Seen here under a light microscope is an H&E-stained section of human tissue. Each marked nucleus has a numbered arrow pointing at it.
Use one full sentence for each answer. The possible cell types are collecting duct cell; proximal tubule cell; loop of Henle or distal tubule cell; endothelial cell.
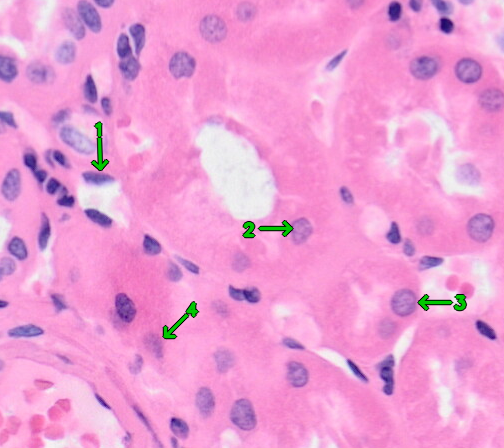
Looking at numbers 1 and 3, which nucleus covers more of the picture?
Number 3 is larger; its area is about 1.5 times that of number 1.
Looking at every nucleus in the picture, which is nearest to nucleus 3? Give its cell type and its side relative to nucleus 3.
It is a proximal tubule cell, whose nucleus lies below and to the left of nucleus 3.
